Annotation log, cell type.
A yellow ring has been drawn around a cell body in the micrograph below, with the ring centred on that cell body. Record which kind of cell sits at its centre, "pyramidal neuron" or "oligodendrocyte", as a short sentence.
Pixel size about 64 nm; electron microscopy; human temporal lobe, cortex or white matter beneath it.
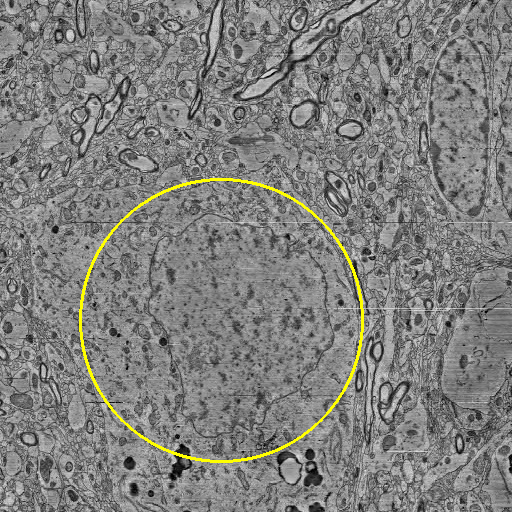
The cell at the centre of this ring is a pyramidal neuron.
